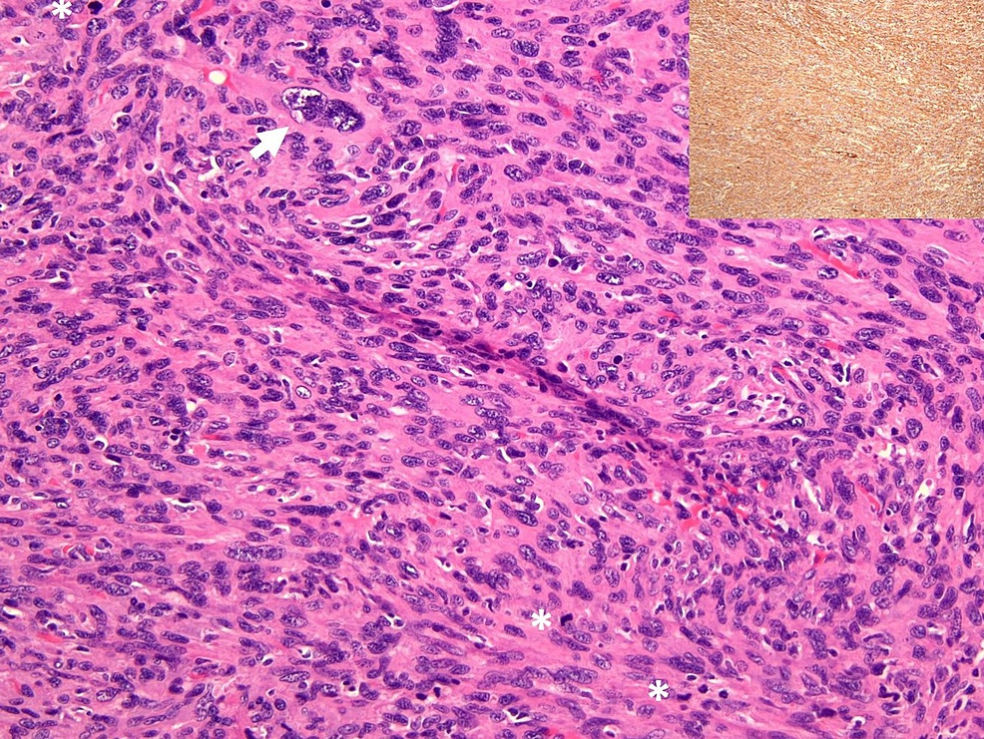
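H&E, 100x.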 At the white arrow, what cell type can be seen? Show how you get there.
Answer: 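The arrowed cell is much larger than its neighbours. It holds several clumped, dark nuclear masses. On this evidence: Bizarre cells with multinucleation.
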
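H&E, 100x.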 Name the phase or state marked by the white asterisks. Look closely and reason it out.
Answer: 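Mitoses. Small, dense, dark chromatin clumps lie beside the asterisks. These clumps are unlike the surrounding vesicular nuclei.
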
